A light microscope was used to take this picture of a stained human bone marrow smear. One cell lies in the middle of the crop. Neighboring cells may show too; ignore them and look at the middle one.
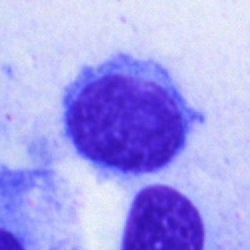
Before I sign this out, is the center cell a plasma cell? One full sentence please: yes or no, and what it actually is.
No, the middle cell is classified as a hairy cell and not as a plasma cell.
